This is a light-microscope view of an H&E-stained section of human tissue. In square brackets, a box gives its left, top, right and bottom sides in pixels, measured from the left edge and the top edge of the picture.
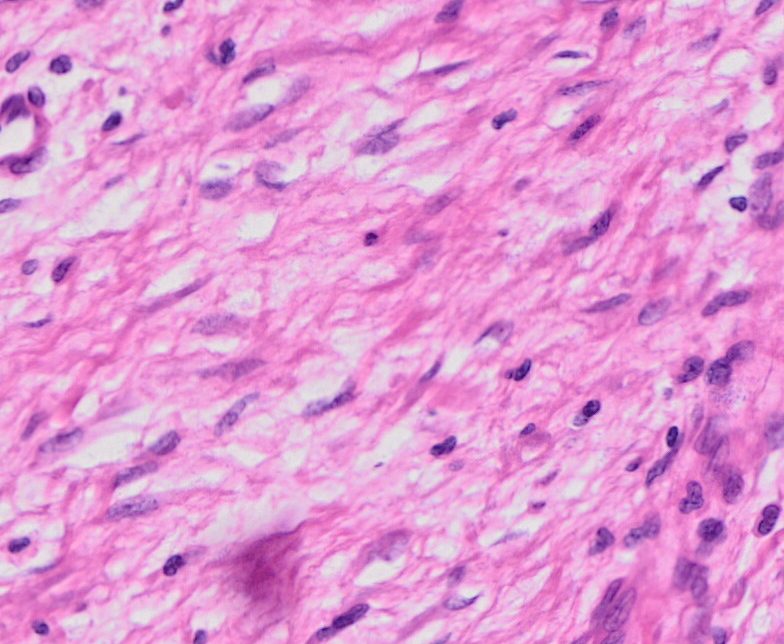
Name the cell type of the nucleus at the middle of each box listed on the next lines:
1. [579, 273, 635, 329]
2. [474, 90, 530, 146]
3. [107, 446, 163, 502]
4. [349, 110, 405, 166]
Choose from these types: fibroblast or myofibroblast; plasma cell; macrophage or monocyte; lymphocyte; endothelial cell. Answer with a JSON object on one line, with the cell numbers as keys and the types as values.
{"1": "fibroblast or myofibroblast", "2": "lymphocyte", "3": "fibroblast or myofibroblast", "4": "fibroblast or myofibroblast"}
